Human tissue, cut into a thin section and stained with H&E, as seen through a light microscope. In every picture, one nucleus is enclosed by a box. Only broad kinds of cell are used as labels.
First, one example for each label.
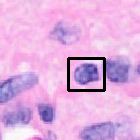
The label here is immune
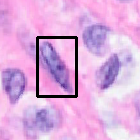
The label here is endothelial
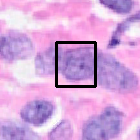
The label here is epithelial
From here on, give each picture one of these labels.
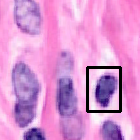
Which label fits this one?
immune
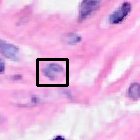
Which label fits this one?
endothelial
